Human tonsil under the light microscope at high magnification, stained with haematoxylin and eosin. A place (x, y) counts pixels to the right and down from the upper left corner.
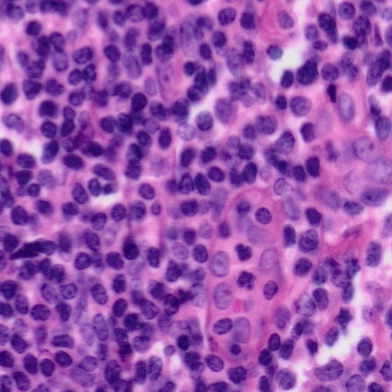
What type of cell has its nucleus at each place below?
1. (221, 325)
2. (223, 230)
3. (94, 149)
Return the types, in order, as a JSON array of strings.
["endothelial cell", "endothelial cell", "small lymphocyte"]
